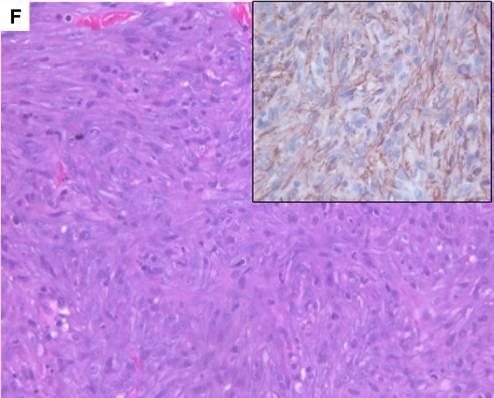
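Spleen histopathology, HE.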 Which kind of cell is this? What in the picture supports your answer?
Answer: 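Neoplastic spindle cells. Cells are elongated with oval to spindle-shaped nuclei. Cells are arranged in bundles running in different directions. Pale pink cytoplasm with indistinct cell borders.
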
